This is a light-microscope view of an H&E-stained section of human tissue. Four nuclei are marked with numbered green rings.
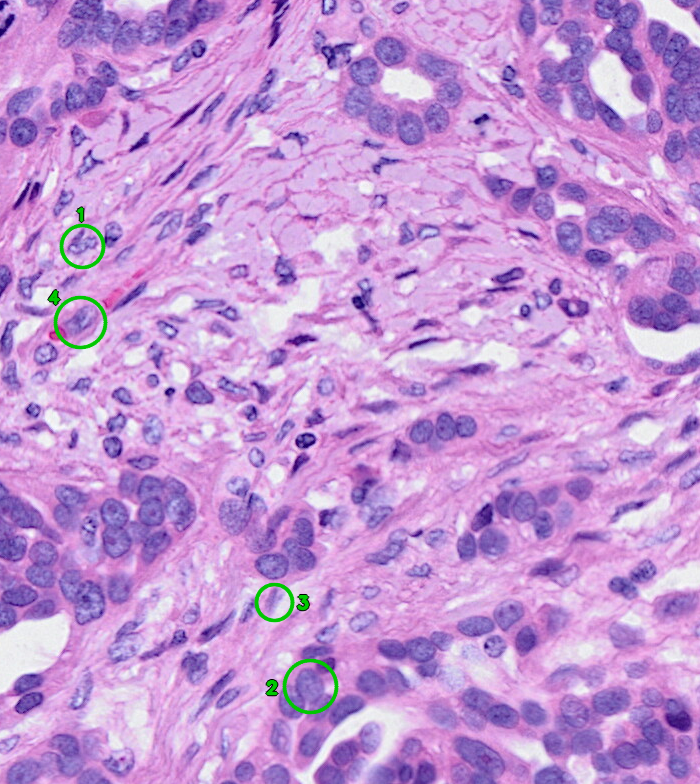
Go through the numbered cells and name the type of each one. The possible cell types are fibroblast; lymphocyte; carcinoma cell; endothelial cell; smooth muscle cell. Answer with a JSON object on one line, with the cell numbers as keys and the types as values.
{"1": "fibroblast", "2": "carcinoma cell", "3": "fibroblast", "4": "endothelial cell"}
